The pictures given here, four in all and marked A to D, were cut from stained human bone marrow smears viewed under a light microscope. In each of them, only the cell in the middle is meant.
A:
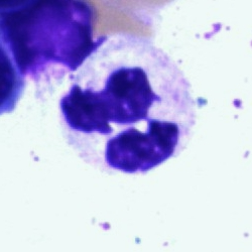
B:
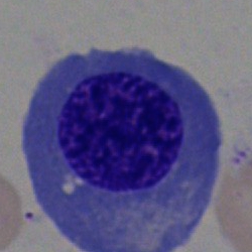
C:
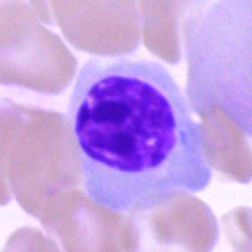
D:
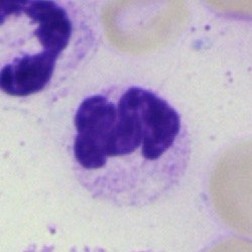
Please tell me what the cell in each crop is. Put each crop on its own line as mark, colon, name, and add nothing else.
A: segmented neutrophil
B: erythroblast
C: erythroblast
D: segmented neutrophil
